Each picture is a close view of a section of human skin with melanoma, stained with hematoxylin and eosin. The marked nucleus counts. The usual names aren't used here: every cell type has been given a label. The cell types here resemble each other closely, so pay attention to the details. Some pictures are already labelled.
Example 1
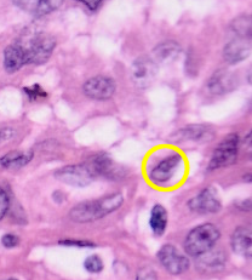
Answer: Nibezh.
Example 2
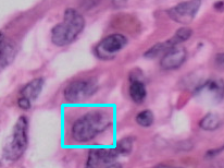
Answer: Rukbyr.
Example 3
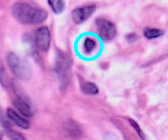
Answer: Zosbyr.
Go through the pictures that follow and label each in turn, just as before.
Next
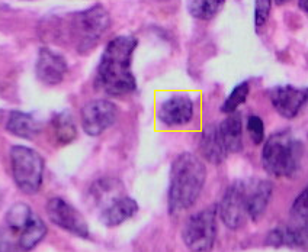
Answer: Rukbyr.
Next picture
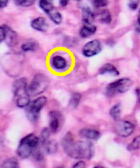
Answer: Zosbyr.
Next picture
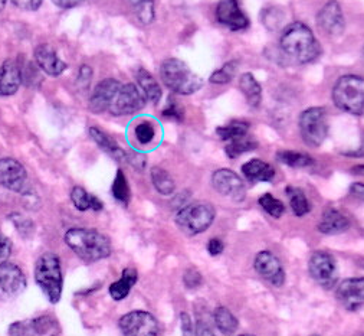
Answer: Zosbyr.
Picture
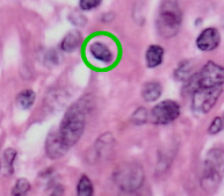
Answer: Zosbyr.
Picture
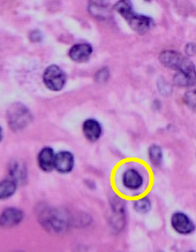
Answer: Zosbyr.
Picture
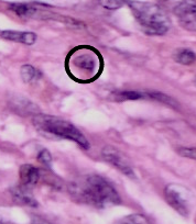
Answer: Nibezh.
